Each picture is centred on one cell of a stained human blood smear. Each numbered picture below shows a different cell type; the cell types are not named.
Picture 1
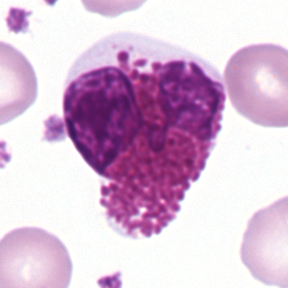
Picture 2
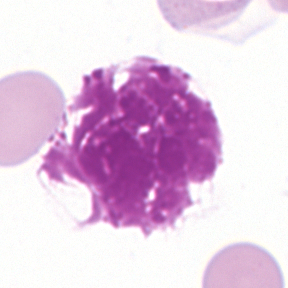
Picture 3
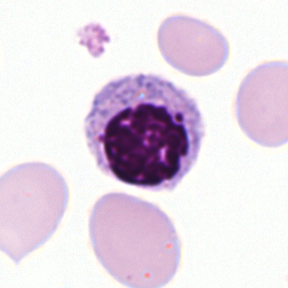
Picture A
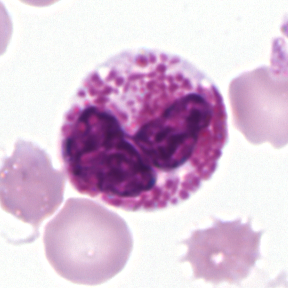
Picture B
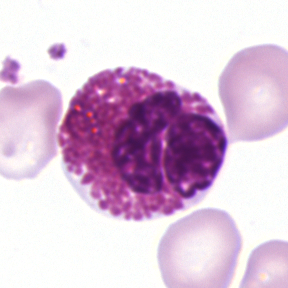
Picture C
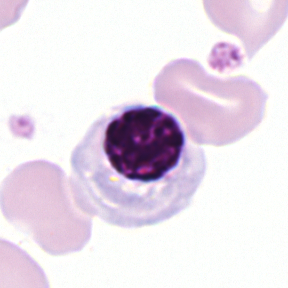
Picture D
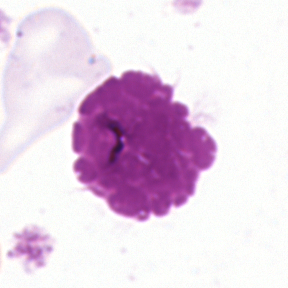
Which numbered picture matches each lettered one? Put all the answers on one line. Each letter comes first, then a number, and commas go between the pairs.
A 1, B 1, C 3, D 2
